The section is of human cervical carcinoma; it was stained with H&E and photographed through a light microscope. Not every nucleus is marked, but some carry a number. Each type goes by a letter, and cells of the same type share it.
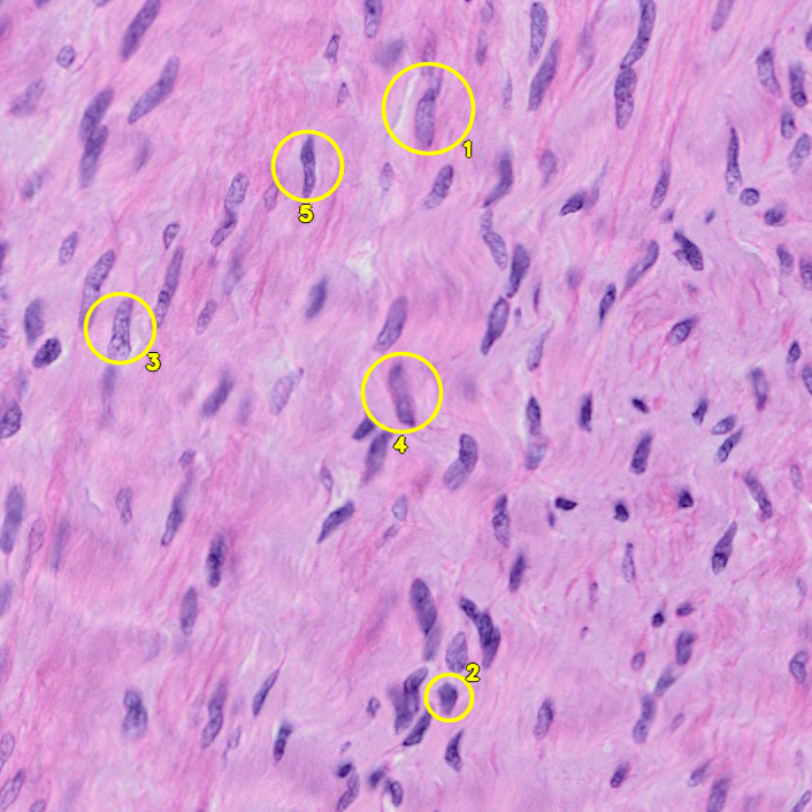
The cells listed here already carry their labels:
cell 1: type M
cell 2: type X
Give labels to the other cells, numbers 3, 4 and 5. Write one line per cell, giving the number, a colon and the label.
3: type X
4: type M
5: type X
